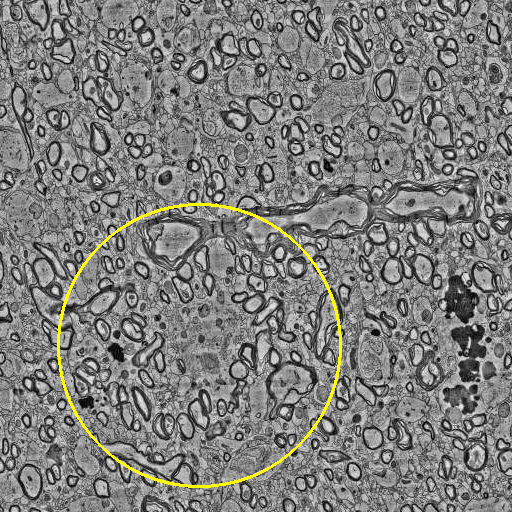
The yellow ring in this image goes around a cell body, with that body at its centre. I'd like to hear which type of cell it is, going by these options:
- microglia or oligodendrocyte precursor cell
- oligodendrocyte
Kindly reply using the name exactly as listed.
oligodendrocyte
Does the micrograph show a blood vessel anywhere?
No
